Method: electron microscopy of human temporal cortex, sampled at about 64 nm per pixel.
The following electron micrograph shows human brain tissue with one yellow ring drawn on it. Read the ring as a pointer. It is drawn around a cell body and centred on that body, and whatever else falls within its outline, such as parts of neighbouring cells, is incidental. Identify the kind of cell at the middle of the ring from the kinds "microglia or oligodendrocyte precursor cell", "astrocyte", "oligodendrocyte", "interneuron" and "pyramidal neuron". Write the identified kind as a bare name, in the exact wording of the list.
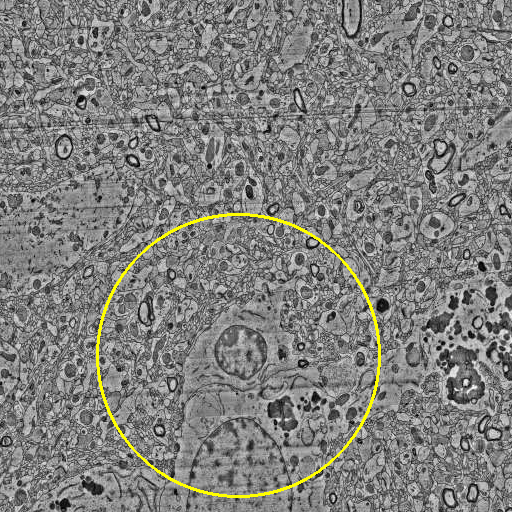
astrocyte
